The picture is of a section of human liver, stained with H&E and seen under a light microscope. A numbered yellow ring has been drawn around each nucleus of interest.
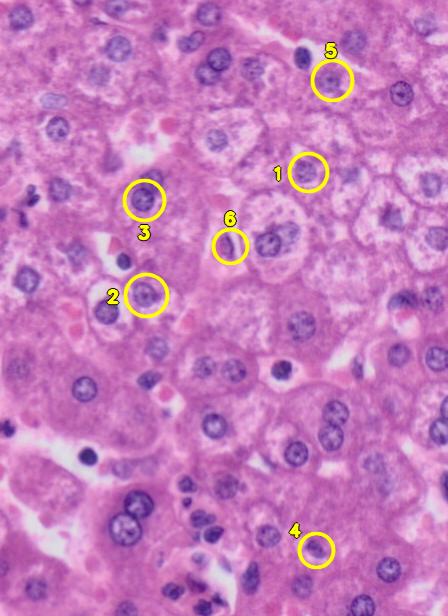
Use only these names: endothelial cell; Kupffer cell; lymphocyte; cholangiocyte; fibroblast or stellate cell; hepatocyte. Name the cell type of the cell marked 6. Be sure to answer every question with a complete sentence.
Cell 6 in the field is a Kupffer cell.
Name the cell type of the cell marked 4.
Belonging to an endothelial cell is the nucleus that carries the number 4.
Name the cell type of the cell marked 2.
The cell identified by the number 2 is a hepatocyte.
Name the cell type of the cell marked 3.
The cell numbered 3 represents a hepatocyte.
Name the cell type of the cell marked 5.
Marked with the number 5, this cell is a hepatocyte.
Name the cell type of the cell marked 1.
The one numbered 1 among the marked cells is a hepatocyte.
